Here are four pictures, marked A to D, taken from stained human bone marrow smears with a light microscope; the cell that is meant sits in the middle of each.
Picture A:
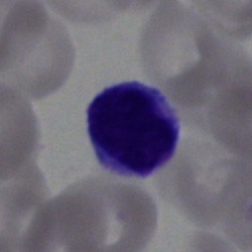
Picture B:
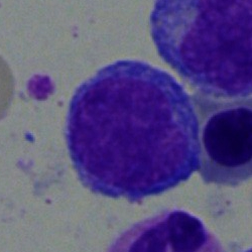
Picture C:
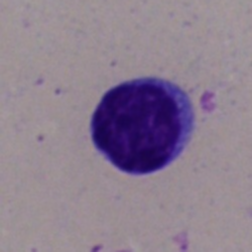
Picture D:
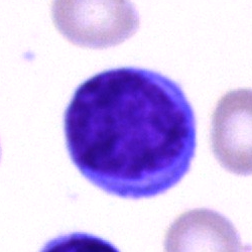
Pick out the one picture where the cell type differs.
B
